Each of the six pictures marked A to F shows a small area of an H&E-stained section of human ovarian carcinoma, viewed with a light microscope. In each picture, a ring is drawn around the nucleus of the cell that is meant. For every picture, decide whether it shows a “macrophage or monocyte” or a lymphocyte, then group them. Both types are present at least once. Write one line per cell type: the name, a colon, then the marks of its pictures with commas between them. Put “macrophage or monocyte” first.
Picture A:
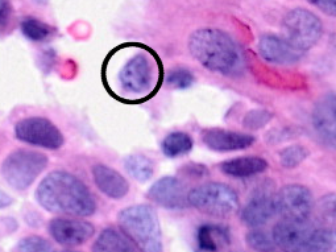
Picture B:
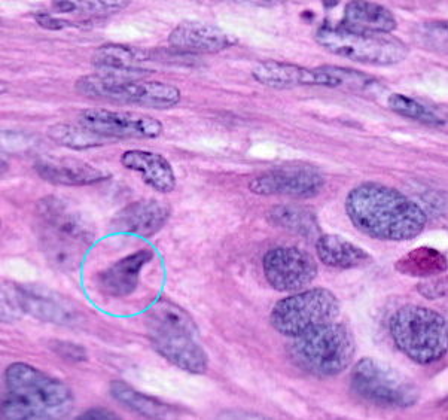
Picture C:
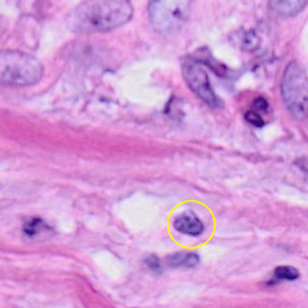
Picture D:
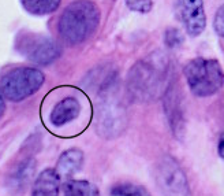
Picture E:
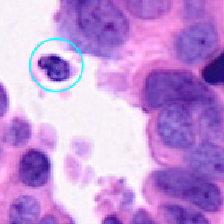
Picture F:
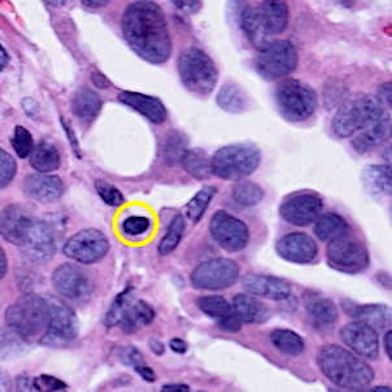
macrophage or monocyte: A, B
lymphocyte: C, D, E, F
